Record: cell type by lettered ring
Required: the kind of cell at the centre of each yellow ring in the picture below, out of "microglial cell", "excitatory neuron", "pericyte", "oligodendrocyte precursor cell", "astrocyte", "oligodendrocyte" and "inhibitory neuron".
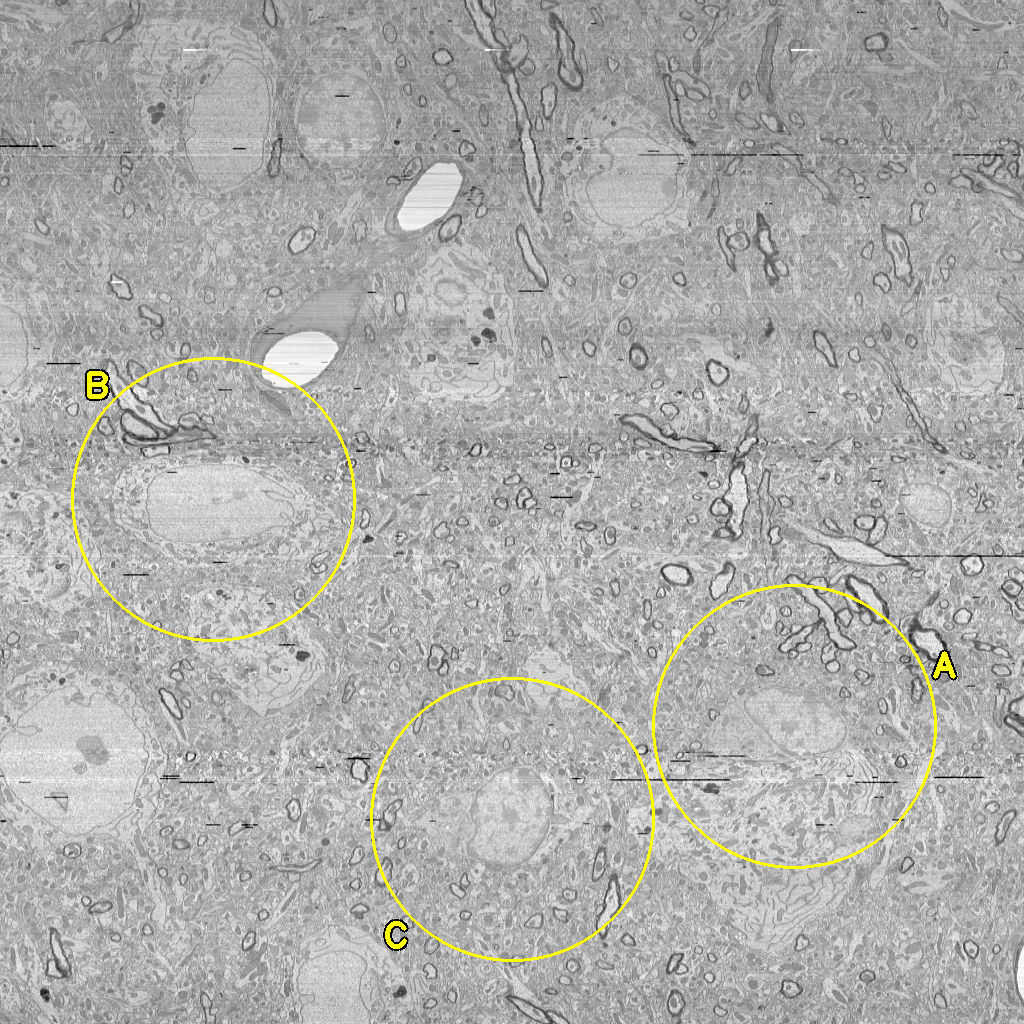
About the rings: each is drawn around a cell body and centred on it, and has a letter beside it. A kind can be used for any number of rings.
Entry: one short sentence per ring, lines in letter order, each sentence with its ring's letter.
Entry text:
At ring A we have an oligodendrocyte.
At ring B we have an inhibitory neuron.
At ring C we have an oligodendrocyte.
